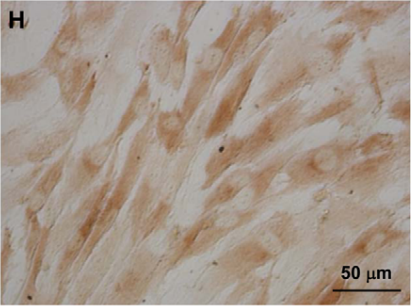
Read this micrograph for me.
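The cytoplasm carries a diffuse brown stain, while the oval nuclei appear somewhat paler. Cell borders overlap and the cells form a fairly dense, streaming layer.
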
